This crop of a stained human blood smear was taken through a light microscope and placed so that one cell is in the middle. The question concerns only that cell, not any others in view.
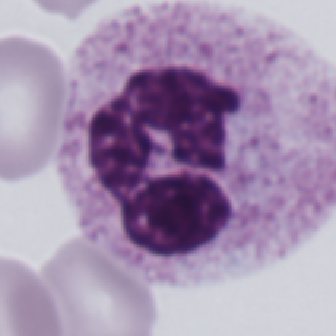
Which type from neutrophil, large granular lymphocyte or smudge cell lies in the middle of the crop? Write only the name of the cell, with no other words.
neutrophil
